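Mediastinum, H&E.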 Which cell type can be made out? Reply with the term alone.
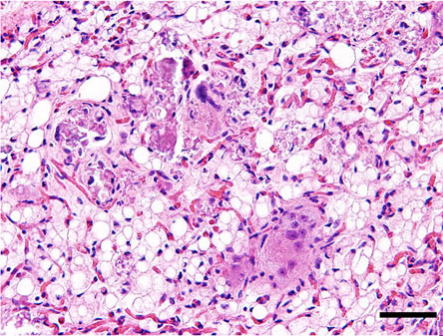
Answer: Multinucleated giant cells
